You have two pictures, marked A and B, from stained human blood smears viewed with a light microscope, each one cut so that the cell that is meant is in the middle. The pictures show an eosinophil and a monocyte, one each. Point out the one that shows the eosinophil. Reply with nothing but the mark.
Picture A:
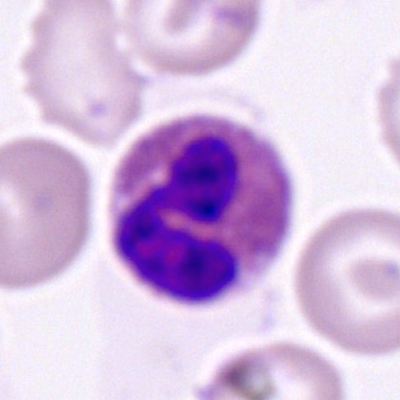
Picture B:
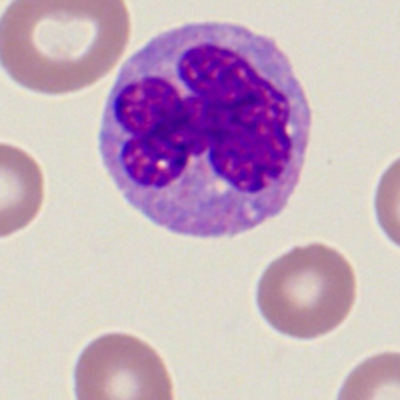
A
